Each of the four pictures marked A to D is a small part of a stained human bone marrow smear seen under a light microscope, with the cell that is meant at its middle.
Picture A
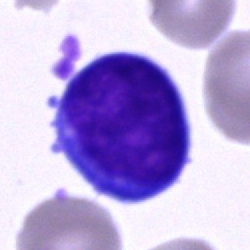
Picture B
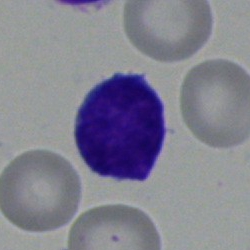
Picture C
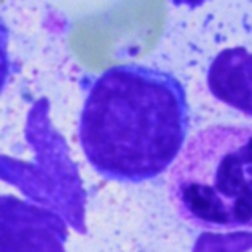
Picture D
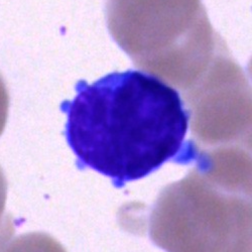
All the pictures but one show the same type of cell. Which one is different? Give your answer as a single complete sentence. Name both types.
The different one is picture A; it shows a blast, whereas all the others show lymphocytes.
